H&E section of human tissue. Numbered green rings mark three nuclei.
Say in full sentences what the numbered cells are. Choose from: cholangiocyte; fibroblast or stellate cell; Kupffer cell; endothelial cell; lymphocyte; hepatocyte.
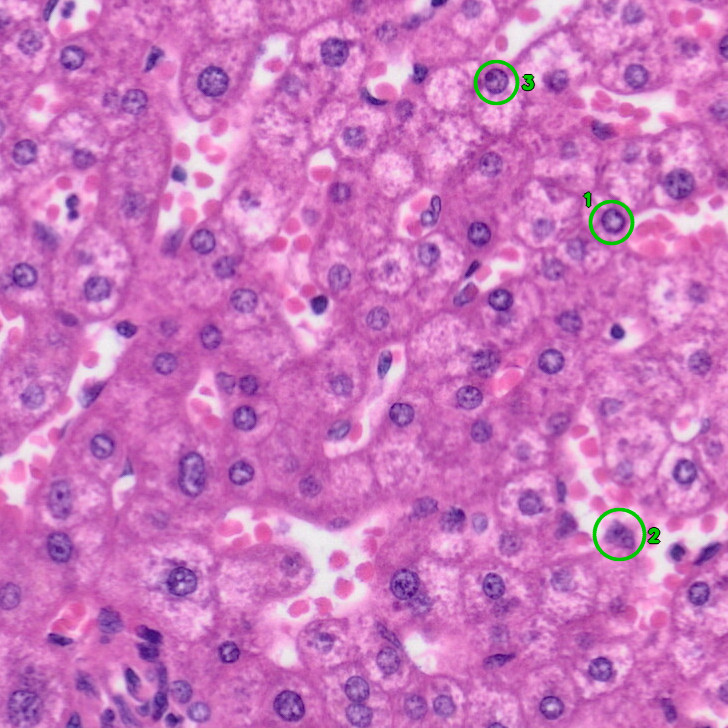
Cells 1 and 3 are hepatocytes. Cell 2 is a Kupffer cell.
